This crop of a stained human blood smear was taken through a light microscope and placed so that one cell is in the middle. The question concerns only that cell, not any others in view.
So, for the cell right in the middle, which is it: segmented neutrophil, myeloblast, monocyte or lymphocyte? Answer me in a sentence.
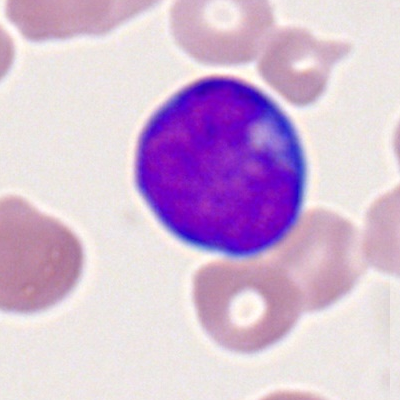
The crop shows a myeloblast in its centre.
